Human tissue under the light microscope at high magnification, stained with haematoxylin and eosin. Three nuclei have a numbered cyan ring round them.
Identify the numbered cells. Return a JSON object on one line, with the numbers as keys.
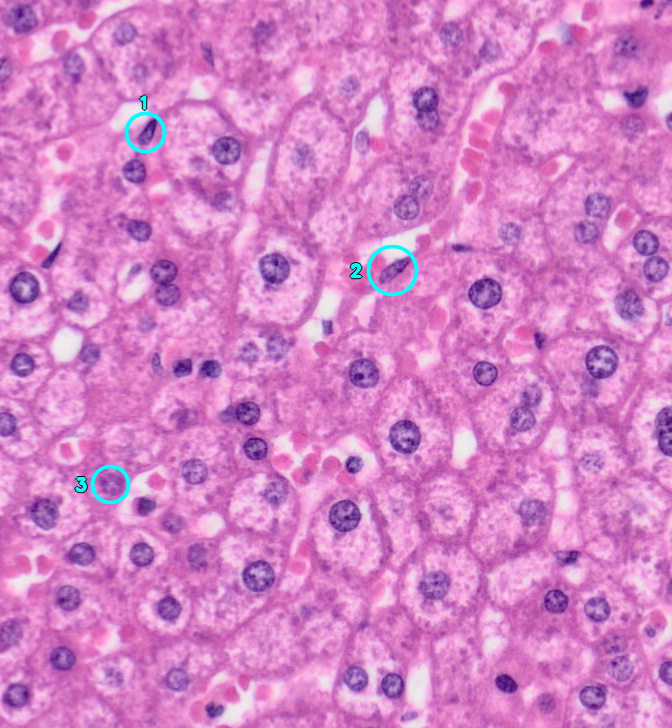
{"1": "fibroblast or stellate cell", "2": "Kupffer cell", "3": "hepatocyte"}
